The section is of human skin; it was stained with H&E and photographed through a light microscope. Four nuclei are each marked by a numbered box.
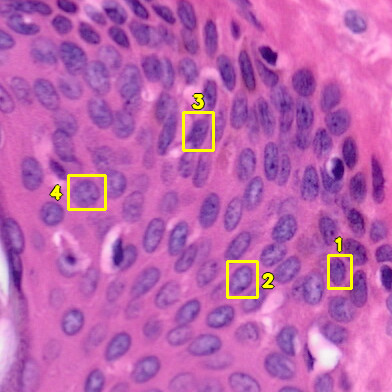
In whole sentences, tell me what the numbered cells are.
Cell 1 is a basal keratinocyte, cell 2 is a suprabasal keratinocyte, cell 3 is a basal keratinocyte and cell 4 is a suprabasal keratinocyte.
